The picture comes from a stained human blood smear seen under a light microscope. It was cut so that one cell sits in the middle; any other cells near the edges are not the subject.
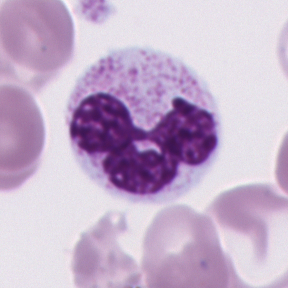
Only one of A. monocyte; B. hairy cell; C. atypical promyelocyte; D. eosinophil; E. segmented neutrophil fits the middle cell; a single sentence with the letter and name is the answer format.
What option E states is correct, the central cell being a segmented neutrophil.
